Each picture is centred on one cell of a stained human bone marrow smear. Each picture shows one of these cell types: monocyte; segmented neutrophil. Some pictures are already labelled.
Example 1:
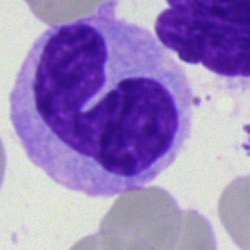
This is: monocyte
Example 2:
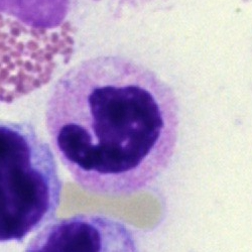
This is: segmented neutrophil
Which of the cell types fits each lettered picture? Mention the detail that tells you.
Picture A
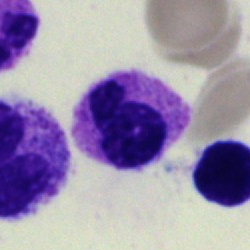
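Label: segmented neutrophil. Fine granules are scattered through the cytoplasm.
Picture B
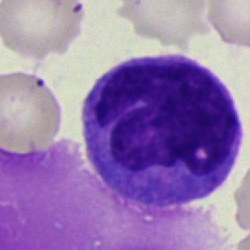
Label: monocyte. The nucleus fills most of the cell.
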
